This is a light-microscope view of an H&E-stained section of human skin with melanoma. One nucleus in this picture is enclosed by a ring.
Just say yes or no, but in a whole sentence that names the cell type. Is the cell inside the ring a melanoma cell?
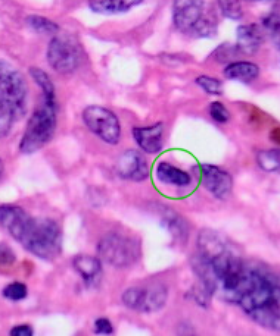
No, the cell inside the ring counts as a lymphocyte, not a melanoma cell.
